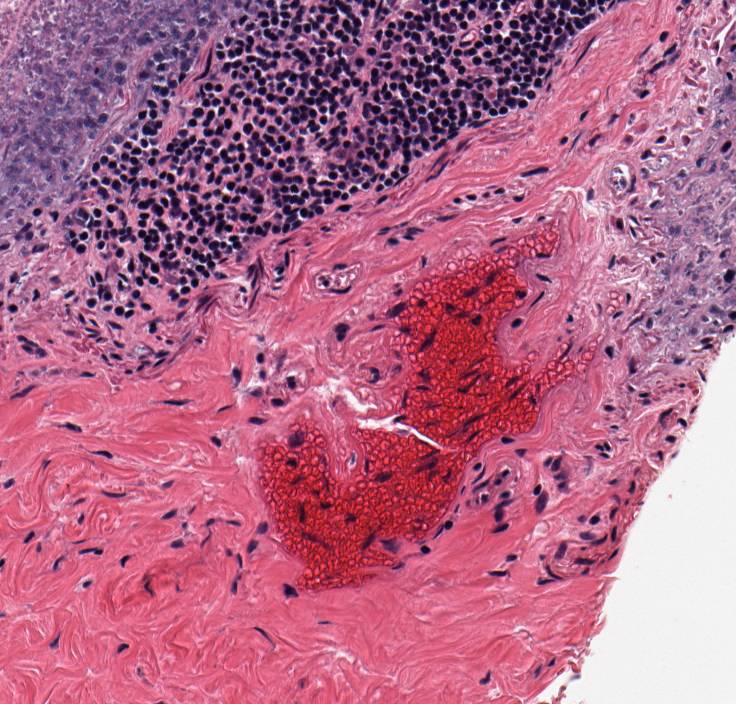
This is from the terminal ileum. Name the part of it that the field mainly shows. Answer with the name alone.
dense connective tissue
